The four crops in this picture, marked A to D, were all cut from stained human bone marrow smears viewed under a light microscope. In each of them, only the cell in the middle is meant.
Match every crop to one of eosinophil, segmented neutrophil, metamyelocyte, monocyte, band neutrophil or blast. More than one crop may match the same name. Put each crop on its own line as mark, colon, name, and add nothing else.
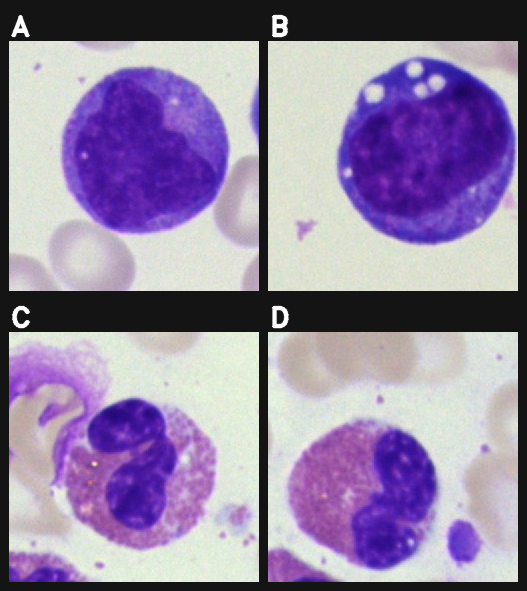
A: monocyte
B: blast
C: eosinophil
D: eosinophil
